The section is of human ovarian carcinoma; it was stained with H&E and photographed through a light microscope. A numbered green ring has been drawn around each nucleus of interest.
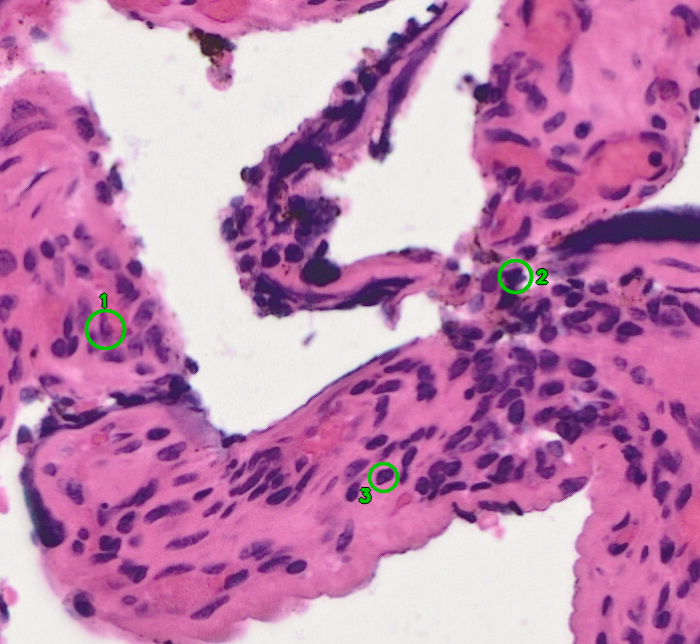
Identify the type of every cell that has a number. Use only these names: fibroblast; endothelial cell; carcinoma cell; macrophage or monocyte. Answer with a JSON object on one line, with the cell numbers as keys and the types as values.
{"1": "endothelial cell", "2": "carcinoma cell", "3": "macrophage or monocyte"}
